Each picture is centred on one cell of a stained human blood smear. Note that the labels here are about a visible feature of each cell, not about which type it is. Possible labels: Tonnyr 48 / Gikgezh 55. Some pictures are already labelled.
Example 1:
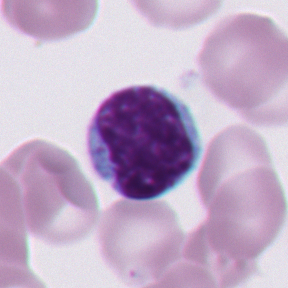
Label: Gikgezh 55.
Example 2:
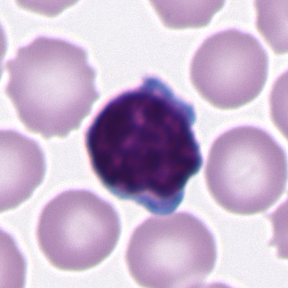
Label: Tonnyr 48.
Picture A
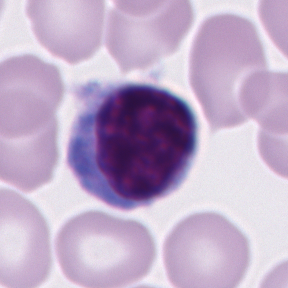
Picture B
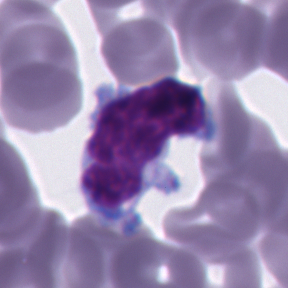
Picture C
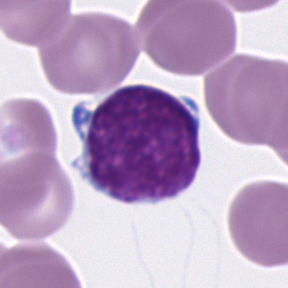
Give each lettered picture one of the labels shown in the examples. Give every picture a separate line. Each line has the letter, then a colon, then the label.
A: Tonnyr 48.
B: Tonnyr 48.
C: Tonnyr 48.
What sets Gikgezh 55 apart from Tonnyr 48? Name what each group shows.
Gikgezh 55, smooth outline; Tonnyr 48, ragged outline or projections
